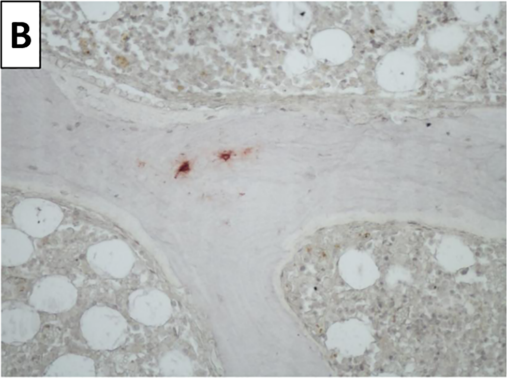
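A pale trabecula of bone with fine lamellar texture runs across the field and branches downwards, with marrow spaces on both sides. Two small red-stained osteocytes lie embedded within the matrix near the upper left of the trabecula. The rest of the bone matrix is largely unstained. The marrow on both sides contains round empty fat vacuoles set among densely packed small hematopoietic cells.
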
